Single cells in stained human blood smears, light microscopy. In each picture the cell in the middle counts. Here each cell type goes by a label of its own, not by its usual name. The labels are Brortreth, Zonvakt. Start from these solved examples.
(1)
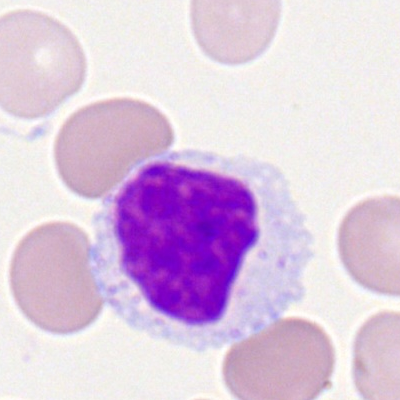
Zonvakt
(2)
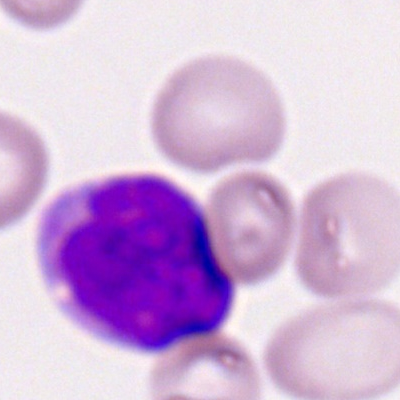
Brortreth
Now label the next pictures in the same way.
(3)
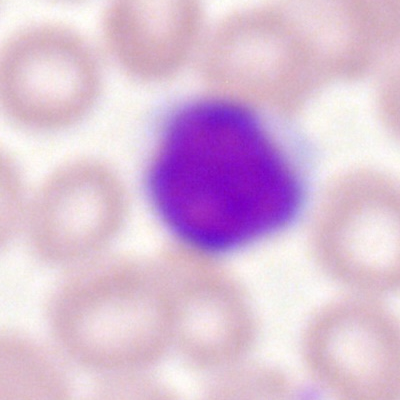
Zonvakt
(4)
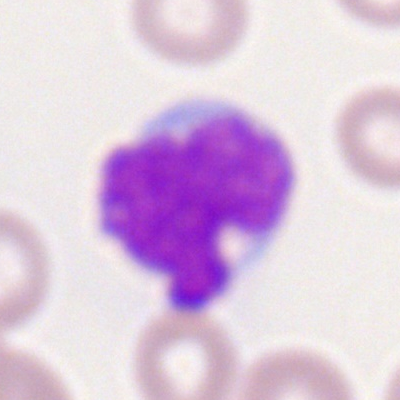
Brortreth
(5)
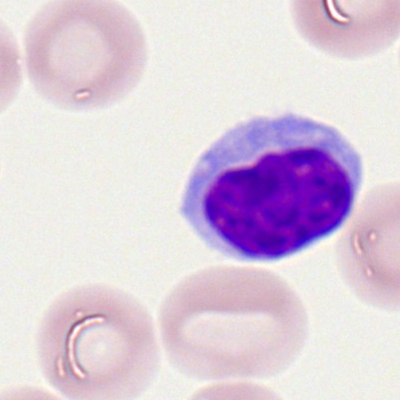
Zonvakt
